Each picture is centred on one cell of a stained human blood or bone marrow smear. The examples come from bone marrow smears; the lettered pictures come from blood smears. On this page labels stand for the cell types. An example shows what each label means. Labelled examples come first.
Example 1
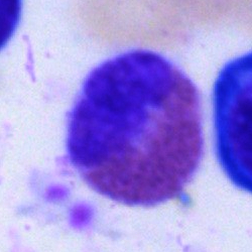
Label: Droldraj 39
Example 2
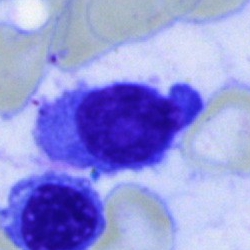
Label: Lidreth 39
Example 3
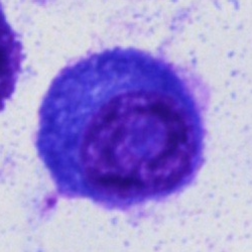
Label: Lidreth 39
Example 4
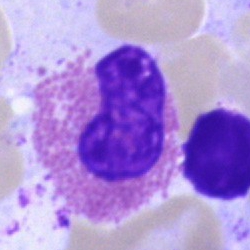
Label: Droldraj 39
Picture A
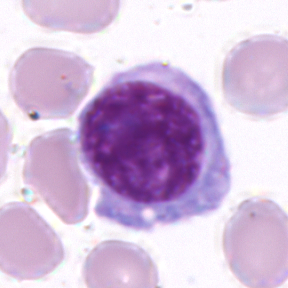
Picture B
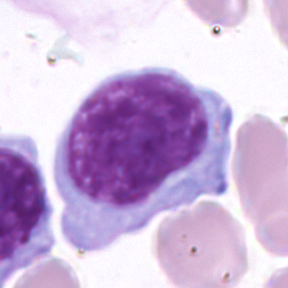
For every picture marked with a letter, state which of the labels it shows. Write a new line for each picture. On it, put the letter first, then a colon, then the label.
A: Lidreth 39
B: Lidreth 39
